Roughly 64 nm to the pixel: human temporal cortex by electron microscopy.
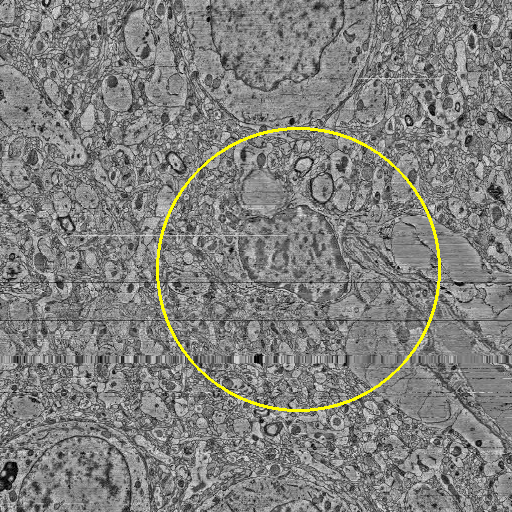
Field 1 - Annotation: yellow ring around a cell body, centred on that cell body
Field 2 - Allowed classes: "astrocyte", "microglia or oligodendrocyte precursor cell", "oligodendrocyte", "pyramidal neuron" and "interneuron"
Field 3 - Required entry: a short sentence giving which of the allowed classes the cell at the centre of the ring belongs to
The centred cell is a microglial cell or oligodendrocyte precursor cell.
